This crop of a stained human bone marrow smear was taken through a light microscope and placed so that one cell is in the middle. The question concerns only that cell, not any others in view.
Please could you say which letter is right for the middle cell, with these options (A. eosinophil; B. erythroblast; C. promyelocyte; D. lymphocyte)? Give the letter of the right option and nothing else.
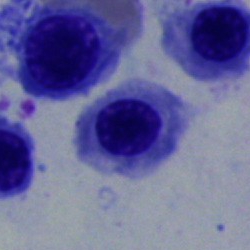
B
